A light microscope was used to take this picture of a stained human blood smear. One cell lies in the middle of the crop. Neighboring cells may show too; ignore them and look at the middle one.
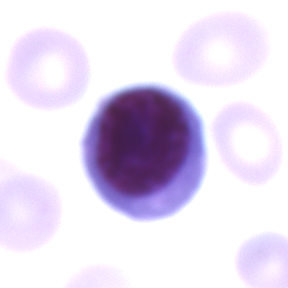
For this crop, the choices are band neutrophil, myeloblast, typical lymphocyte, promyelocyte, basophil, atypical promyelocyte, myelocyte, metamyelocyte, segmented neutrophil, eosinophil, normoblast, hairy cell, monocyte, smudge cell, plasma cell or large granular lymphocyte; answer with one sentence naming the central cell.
Classified as a normoblast is the cell in the middle of this crop.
